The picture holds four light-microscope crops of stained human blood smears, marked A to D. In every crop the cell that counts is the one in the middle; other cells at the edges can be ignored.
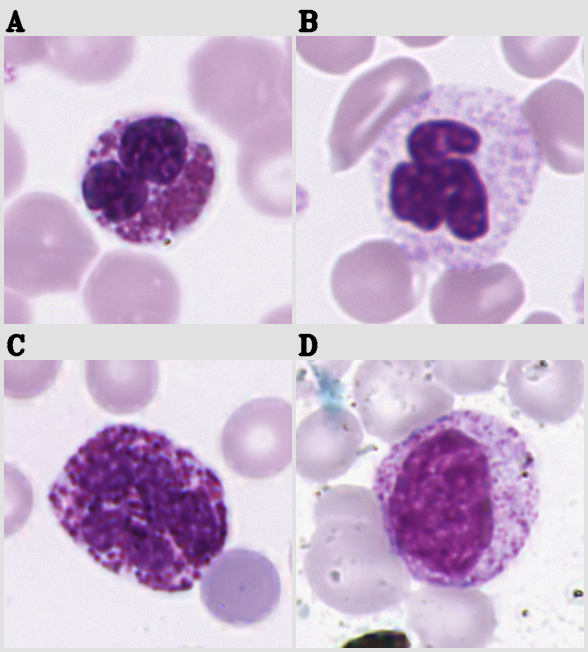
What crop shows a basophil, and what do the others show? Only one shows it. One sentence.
Crop C is classified as a basophil, whereas crop A is an eosinophil, crop B is a segmented neutrophil and crop D is a myelocyte.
